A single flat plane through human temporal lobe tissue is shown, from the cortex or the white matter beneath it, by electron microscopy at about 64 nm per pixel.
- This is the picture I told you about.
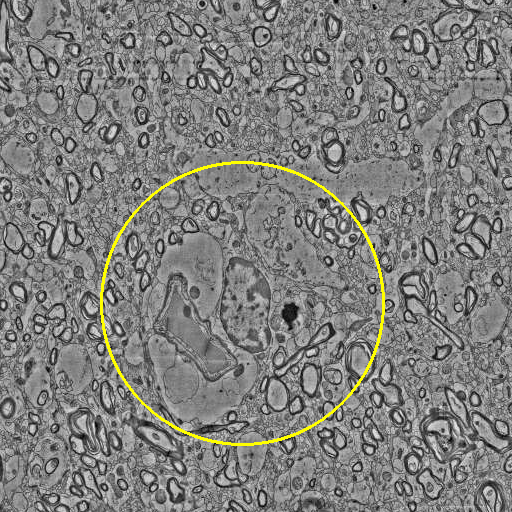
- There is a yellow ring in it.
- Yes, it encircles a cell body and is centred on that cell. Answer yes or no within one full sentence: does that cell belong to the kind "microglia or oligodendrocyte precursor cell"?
Yes, that cell, the one the yellow ring is centred on, belongs to this kind.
